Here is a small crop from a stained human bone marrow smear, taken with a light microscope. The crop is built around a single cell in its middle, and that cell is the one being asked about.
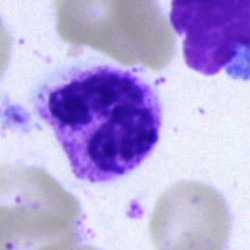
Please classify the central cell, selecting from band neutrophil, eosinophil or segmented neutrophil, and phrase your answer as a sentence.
The cell shown in the center of this light-microscope crop is a segmented neutrophil.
